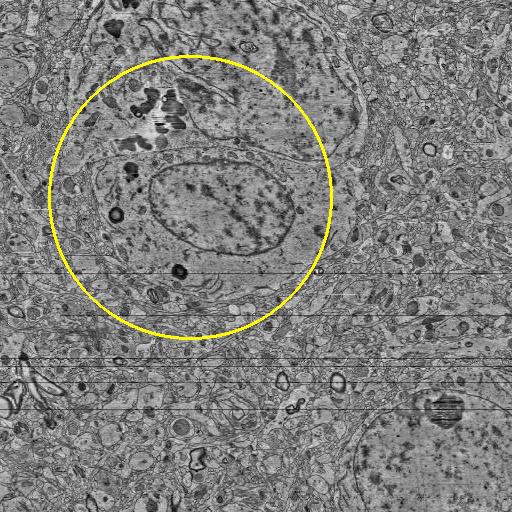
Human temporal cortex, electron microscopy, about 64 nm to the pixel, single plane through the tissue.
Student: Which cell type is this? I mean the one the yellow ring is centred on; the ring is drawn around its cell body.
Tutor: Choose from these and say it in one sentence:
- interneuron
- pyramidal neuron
The cell the ring is centred on is a pyramidal neuron.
